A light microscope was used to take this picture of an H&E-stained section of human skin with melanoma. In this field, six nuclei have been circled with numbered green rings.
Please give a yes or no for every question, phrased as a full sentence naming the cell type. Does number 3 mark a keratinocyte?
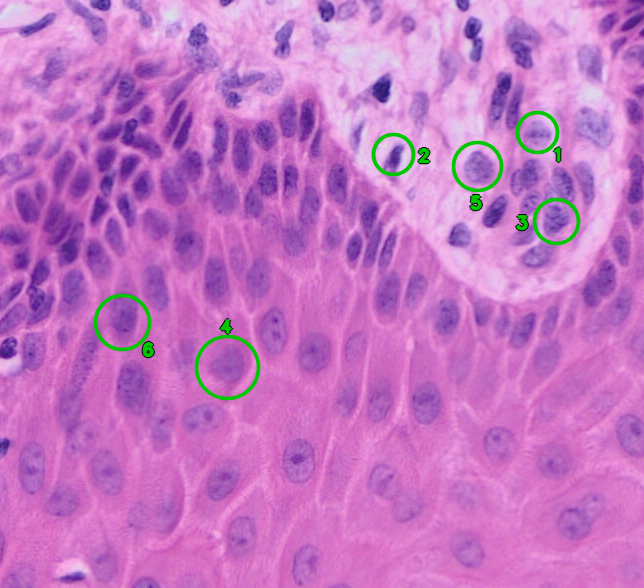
No, the cell indicated by 3 is an endothelial cell instead of a keratinocyte.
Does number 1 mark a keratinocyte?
No, cell 1 is not a keratinocyte; an endothelial cell is the correct identification.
